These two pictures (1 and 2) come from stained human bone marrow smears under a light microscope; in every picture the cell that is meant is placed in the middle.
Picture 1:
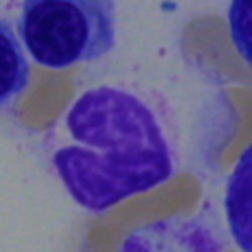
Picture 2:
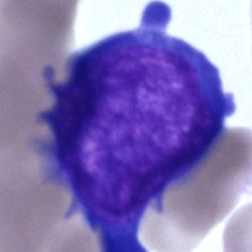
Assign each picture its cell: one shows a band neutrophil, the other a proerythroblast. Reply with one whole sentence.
Picture 1 shows a band neutrophil and picture 2 shows a proerythroblast.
